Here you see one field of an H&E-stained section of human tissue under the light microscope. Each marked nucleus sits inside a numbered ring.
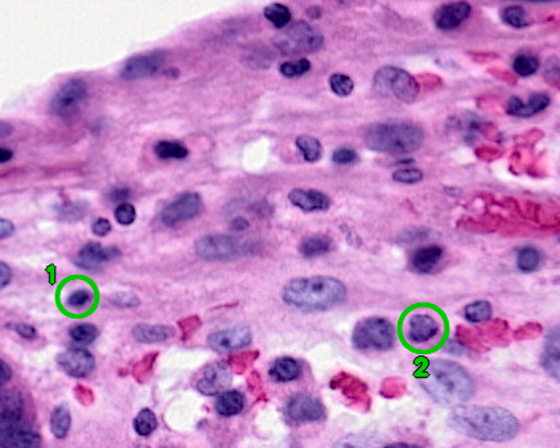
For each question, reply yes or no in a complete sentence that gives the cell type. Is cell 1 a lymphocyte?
Yes, the cell marked by the number 1 is a lymphocyte.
